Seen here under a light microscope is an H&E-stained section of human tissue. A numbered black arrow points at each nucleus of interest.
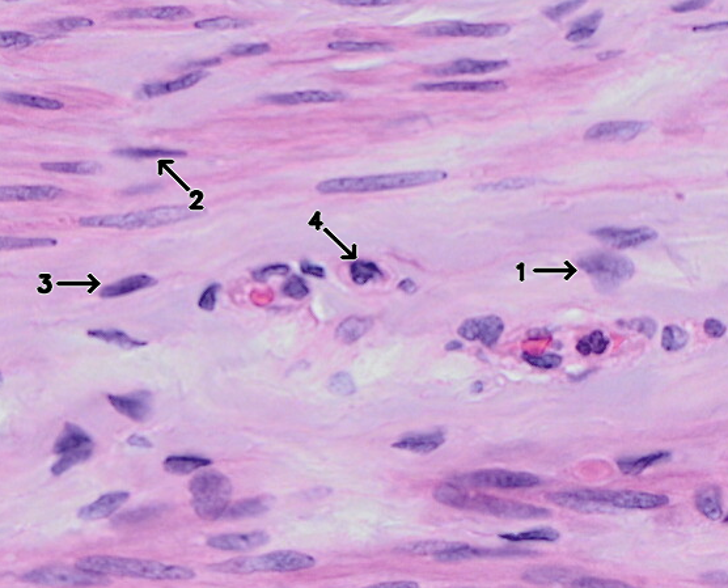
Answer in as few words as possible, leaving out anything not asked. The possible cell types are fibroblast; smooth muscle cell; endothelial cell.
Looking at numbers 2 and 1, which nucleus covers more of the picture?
1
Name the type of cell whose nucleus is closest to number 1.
fibroblast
